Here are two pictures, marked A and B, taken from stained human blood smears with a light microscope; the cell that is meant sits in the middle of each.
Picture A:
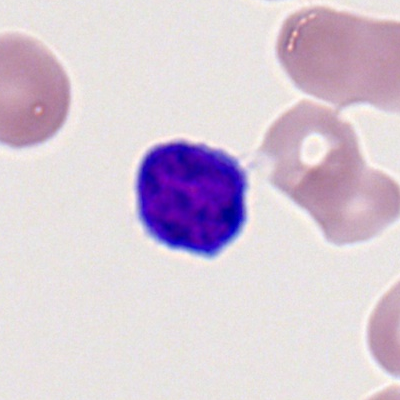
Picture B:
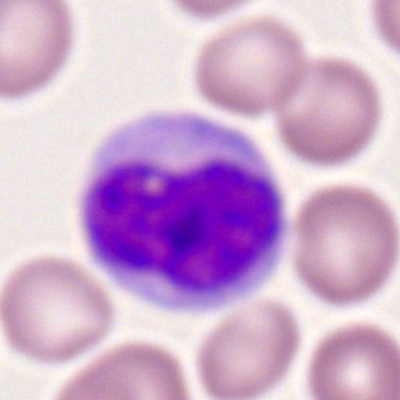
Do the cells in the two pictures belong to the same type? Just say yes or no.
no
